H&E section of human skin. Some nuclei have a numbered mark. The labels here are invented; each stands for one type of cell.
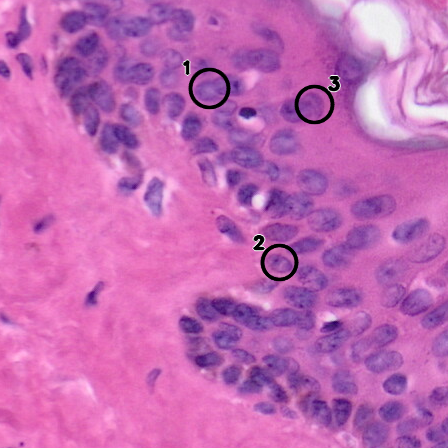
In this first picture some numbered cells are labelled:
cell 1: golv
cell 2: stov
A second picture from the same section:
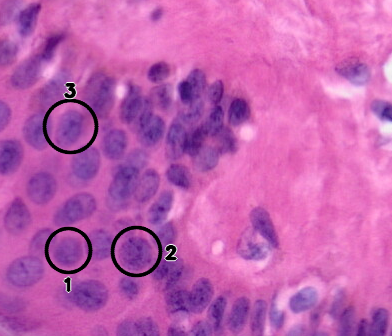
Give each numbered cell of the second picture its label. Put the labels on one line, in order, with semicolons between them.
golv; stov; golv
